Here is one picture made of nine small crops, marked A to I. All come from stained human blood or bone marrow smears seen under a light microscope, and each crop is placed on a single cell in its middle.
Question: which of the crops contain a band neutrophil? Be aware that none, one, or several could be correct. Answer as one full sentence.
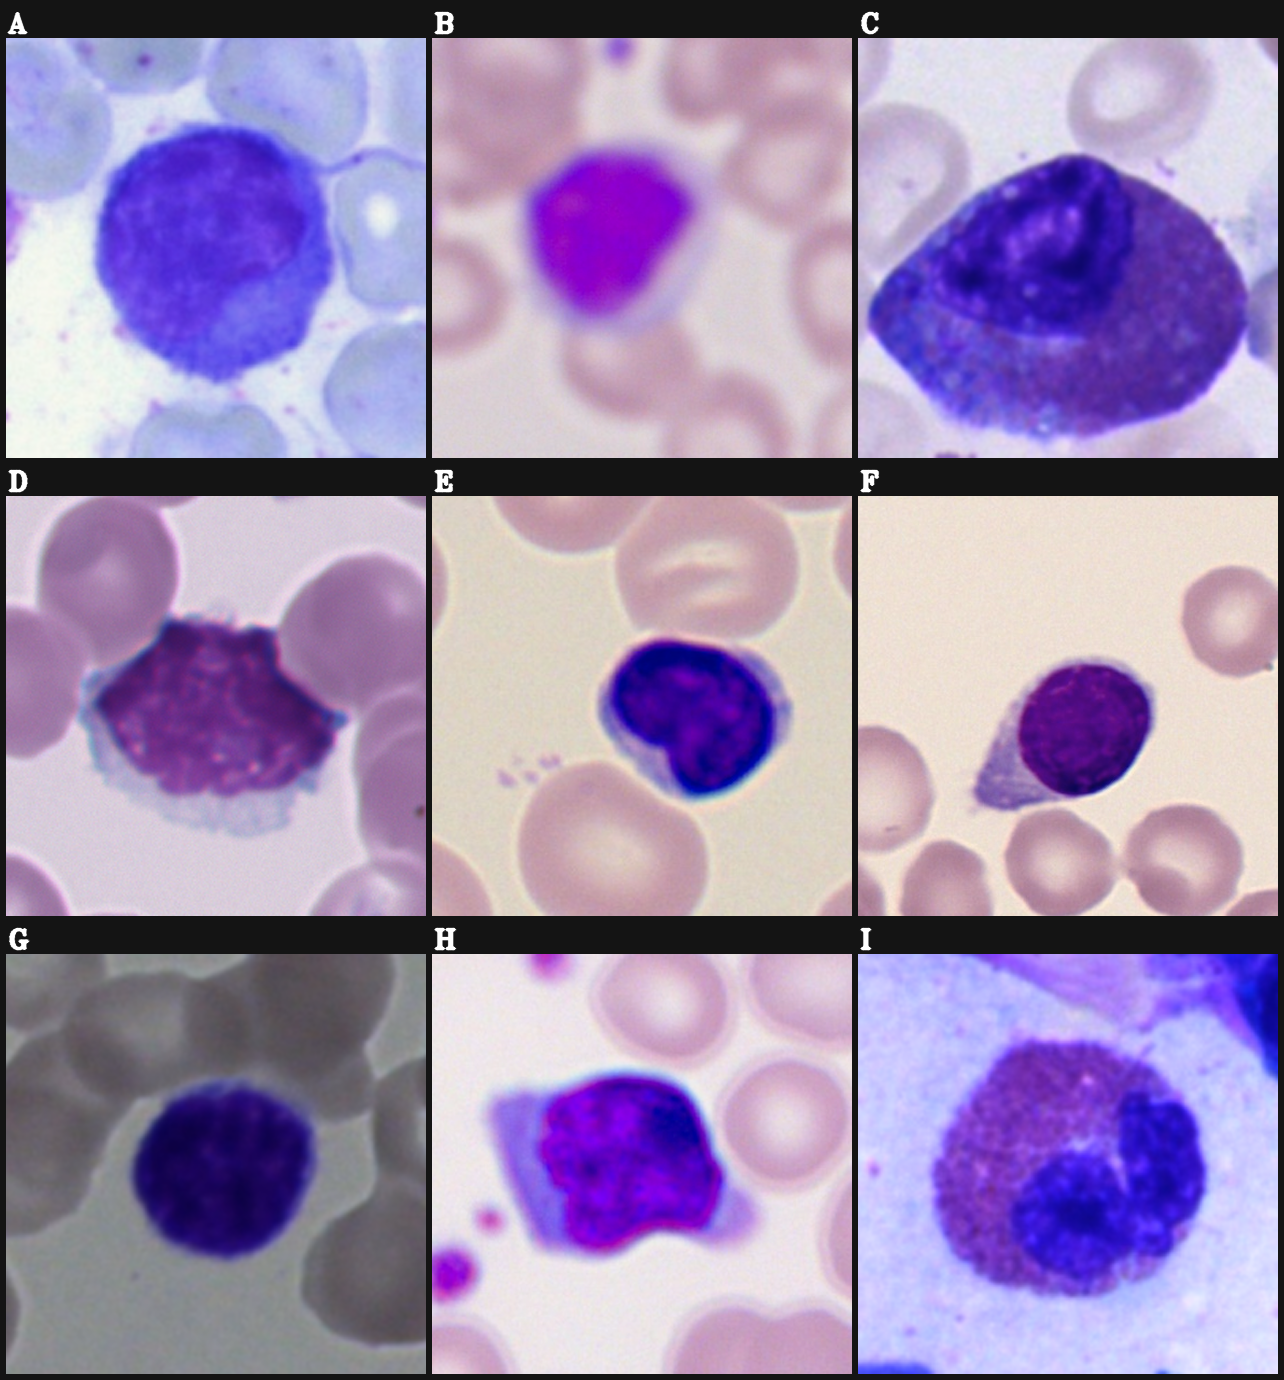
In every crop, the cell in the middle is not a band neutrophil.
